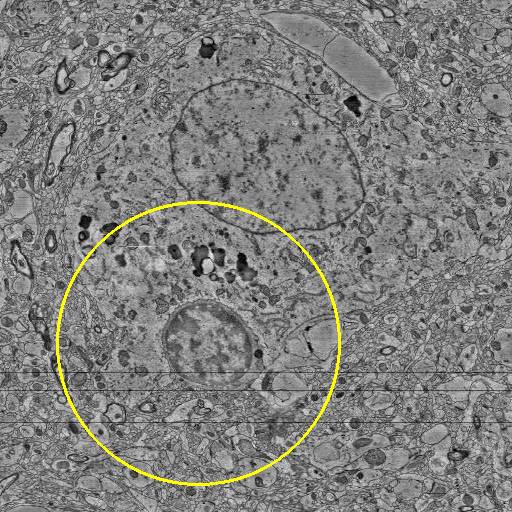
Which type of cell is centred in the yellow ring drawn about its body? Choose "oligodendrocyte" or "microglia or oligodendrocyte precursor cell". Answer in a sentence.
The yellow ring surrounds the cell body of an oligodendrocyte.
